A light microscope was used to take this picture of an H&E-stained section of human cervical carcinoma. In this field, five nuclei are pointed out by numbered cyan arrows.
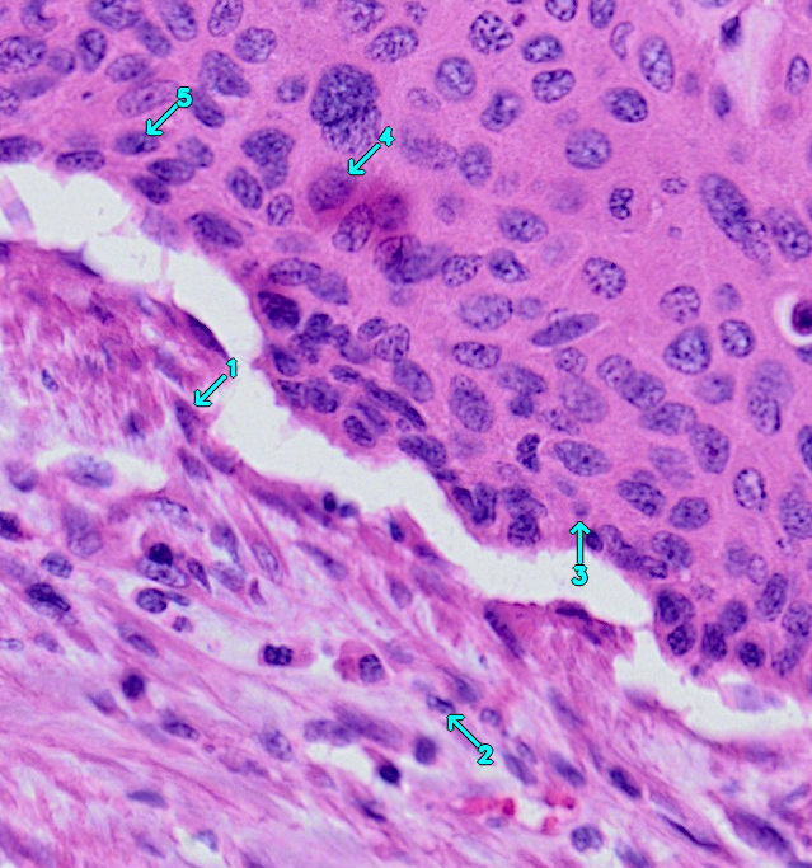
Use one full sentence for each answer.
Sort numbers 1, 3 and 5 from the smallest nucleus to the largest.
The order from the smallest nucleus to the largest is 3, 1, 5.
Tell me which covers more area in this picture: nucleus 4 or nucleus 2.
It is nucleus 4, which covers about 3 times the area of nucleus 2.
